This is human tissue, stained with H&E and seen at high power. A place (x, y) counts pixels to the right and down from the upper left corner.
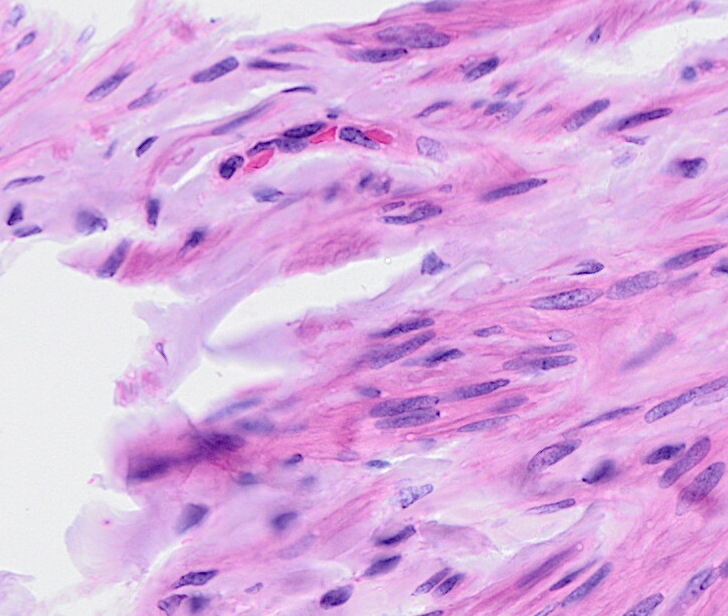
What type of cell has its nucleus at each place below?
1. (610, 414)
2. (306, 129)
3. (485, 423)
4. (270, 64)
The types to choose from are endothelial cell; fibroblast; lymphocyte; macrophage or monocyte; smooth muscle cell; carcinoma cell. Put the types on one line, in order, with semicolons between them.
smooth muscle cell; endothelial cell; smooth muscle cell; smooth muscle cell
